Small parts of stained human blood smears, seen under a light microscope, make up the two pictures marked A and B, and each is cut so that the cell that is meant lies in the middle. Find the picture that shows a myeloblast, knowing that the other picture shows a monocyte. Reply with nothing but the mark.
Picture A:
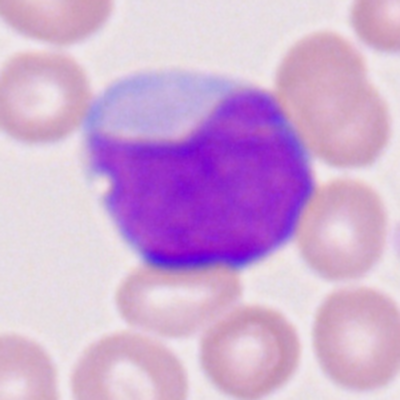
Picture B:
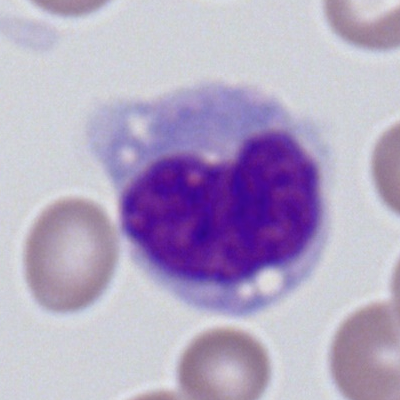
A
